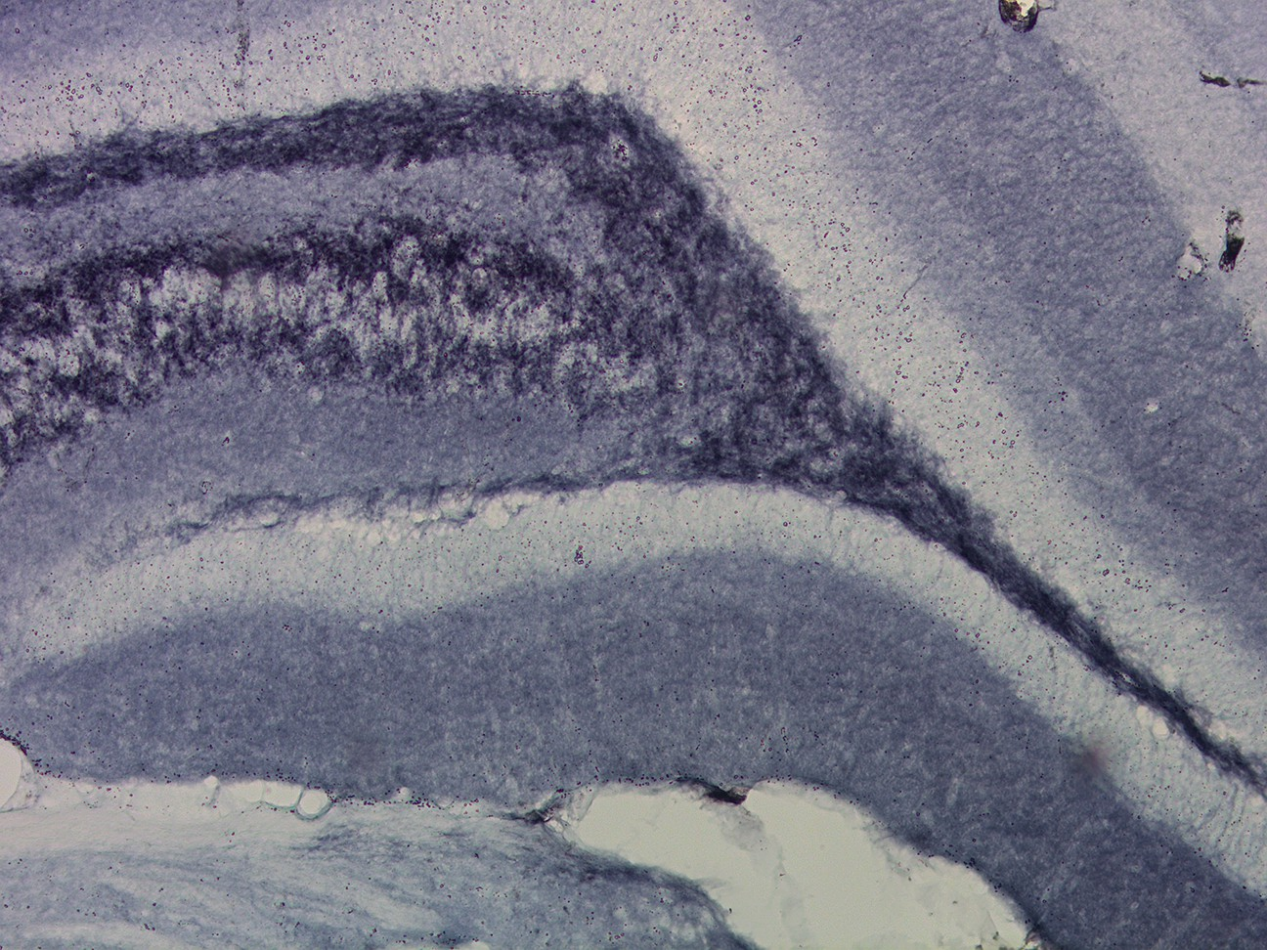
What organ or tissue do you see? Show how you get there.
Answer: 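Hippocampus. Curved, parallel bands of alternating dark and pale staining run across the section. A narrow pale band dotted with small round unstained holes lies between stained layers. A very dark, coarse band bends sharply and thins toward the right.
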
